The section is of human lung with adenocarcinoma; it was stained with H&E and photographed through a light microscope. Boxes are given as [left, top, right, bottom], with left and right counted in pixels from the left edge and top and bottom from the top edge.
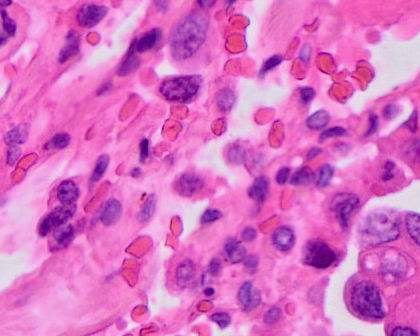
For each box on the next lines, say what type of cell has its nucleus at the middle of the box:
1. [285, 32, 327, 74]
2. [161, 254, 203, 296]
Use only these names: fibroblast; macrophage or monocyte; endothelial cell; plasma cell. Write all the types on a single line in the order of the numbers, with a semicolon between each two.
endothelial cell; macrophage or monocyte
